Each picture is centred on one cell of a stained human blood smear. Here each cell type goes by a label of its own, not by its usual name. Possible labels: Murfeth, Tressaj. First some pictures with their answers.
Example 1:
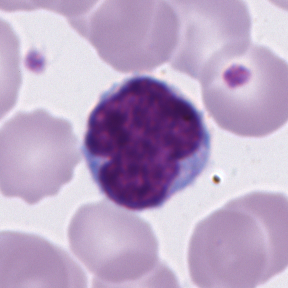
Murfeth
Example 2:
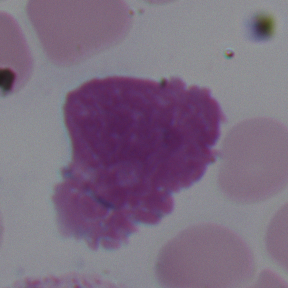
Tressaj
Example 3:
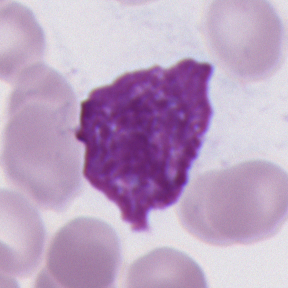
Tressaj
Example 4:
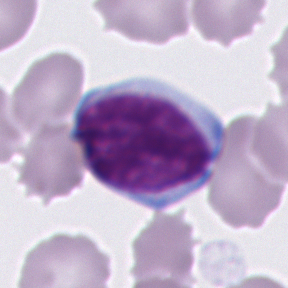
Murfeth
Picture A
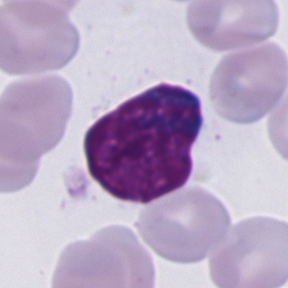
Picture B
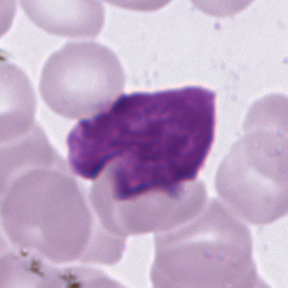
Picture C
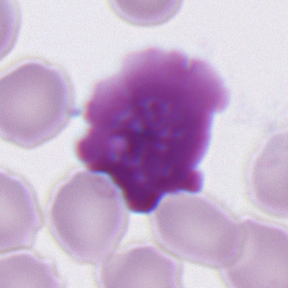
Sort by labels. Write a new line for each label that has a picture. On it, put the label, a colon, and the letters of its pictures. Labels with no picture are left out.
Tressaj: A, B, C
